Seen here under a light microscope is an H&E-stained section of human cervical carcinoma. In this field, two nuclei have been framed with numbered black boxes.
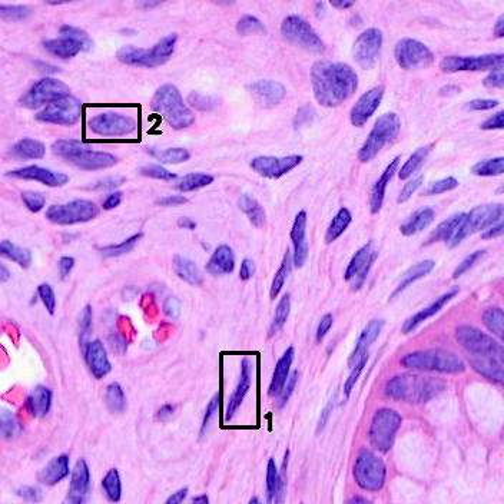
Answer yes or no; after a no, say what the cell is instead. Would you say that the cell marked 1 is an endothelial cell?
No, it is a fibroblast.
